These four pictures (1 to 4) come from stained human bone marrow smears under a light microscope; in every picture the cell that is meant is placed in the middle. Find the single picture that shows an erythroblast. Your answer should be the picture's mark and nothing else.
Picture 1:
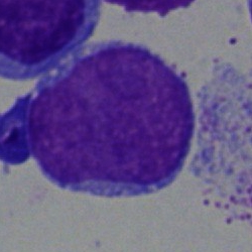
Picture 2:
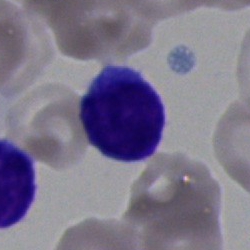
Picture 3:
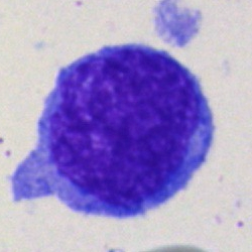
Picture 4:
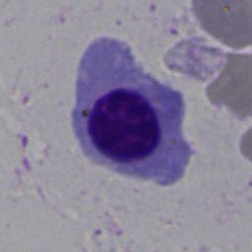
4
